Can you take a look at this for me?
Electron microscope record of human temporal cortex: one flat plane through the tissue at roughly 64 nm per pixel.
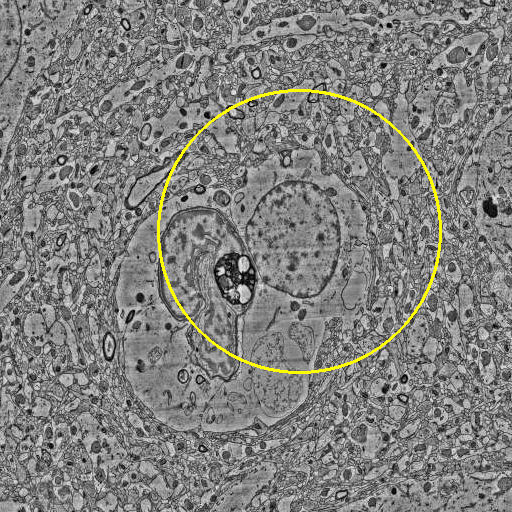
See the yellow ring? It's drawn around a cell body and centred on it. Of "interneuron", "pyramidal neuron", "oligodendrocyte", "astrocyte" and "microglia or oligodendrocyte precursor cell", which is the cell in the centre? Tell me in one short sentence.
The one in the centre is an astrocyte.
